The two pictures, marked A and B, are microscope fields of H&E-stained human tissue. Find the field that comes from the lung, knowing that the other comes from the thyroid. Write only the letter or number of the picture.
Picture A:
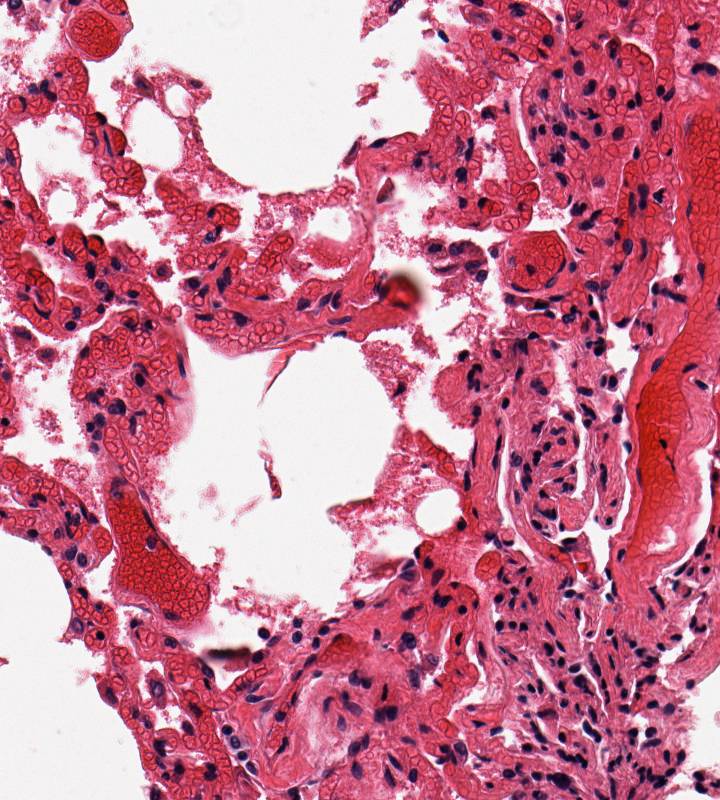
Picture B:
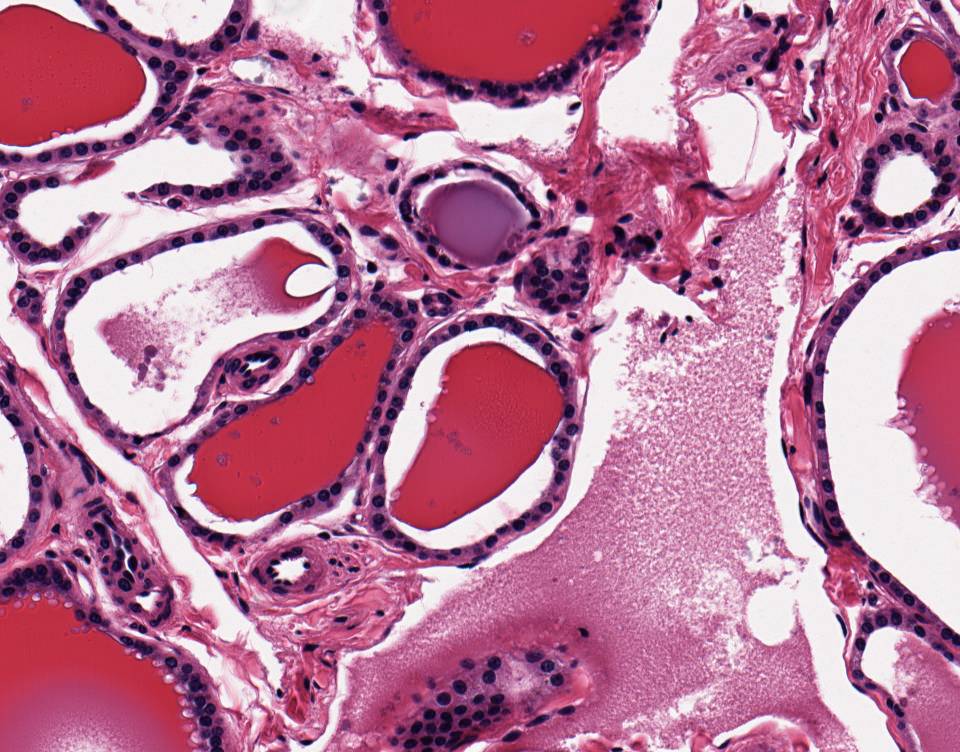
A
